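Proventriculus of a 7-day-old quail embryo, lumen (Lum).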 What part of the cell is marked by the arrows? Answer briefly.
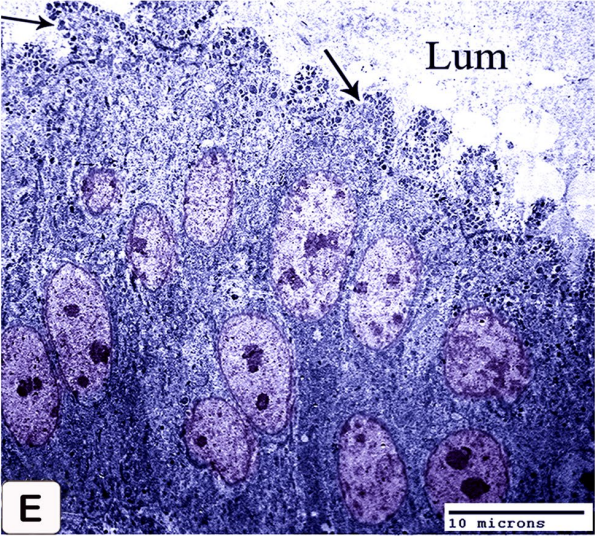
Electron-dense granules.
